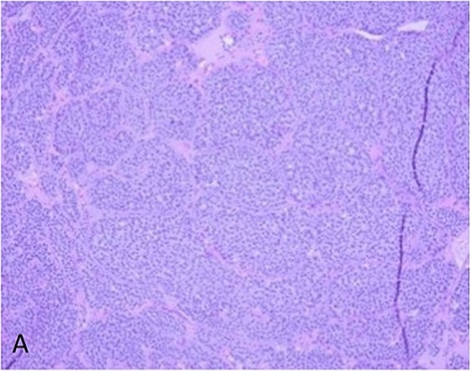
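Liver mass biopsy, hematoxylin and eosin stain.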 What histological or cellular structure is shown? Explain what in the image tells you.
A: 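Densely packed cells form rounded clusters. Clusters are separated by thin pink fibrous septa. That points to this answer: nests of tumor cells.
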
